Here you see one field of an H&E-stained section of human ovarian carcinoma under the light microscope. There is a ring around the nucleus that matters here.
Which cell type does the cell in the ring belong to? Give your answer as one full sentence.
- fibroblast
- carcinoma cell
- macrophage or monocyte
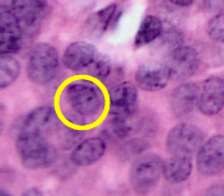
Within the stained tissue, the cell in the ring is a carcinoma cell.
